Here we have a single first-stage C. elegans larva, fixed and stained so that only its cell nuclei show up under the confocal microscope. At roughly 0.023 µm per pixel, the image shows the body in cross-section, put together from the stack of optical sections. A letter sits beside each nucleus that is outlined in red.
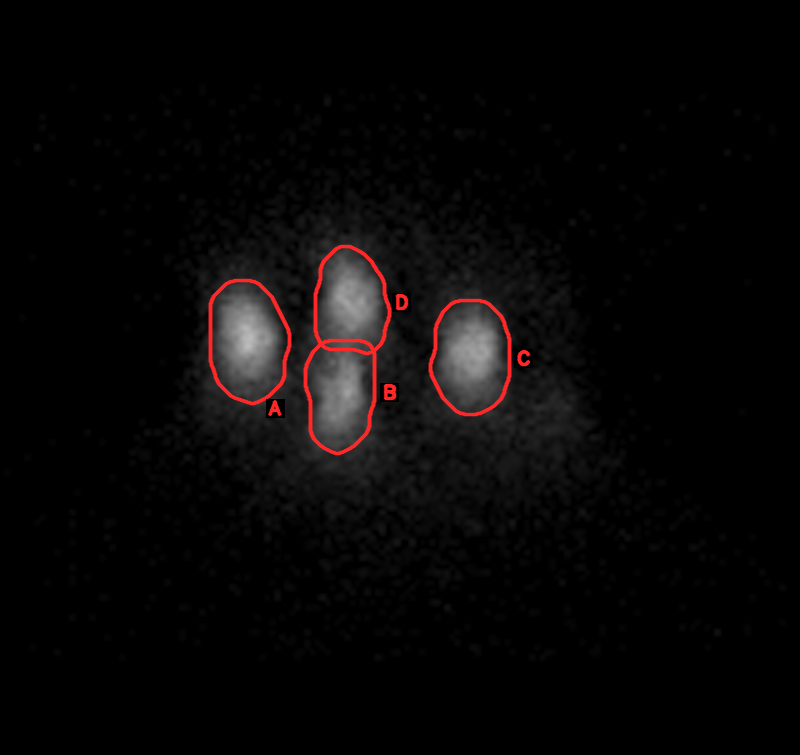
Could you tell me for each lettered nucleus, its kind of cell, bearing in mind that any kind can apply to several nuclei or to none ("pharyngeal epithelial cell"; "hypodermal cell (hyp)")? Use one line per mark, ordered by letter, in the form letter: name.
A: hypodermal cell (hyp)
B: pharyngeal epithelial cell
C: pharyngeal epithelial cell
D: pharyngeal epithelial cell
